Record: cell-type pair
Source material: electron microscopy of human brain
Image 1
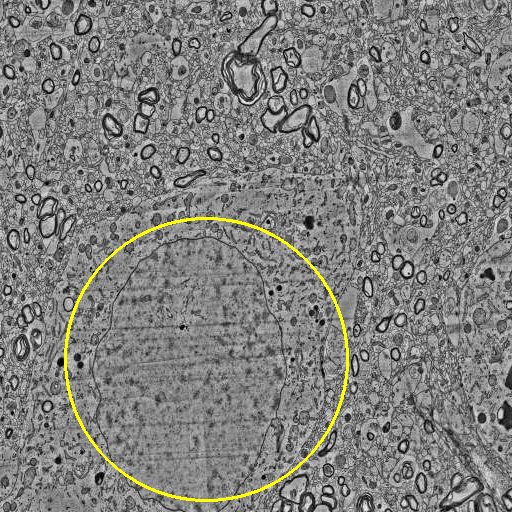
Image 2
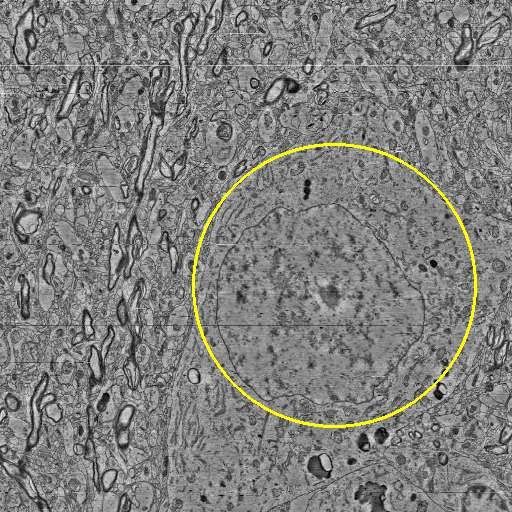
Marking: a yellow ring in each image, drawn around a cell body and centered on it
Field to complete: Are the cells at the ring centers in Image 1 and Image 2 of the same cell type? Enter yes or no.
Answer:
yes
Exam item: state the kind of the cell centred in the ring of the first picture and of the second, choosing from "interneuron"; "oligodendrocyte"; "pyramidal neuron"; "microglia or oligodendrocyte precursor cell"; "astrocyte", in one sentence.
The cell in the first picture is a pyramidal neuron, and so is the one in the second.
